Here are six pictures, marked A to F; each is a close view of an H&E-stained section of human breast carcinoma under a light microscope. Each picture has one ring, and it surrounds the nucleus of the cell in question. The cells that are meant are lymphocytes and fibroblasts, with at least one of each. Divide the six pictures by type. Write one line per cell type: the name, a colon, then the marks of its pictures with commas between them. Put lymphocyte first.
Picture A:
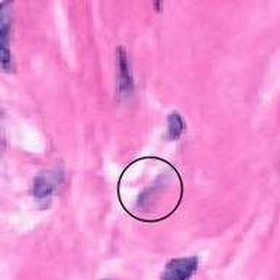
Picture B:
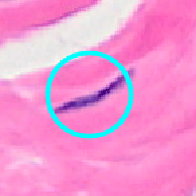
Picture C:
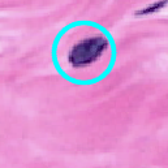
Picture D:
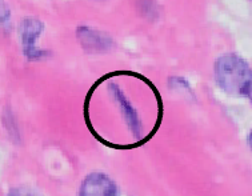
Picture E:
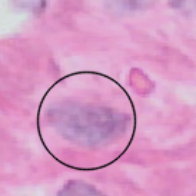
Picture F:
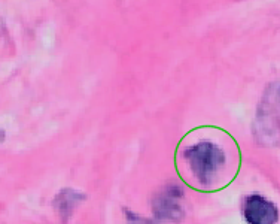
lymphocyte: C, F
fibroblast: A, B, D, E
